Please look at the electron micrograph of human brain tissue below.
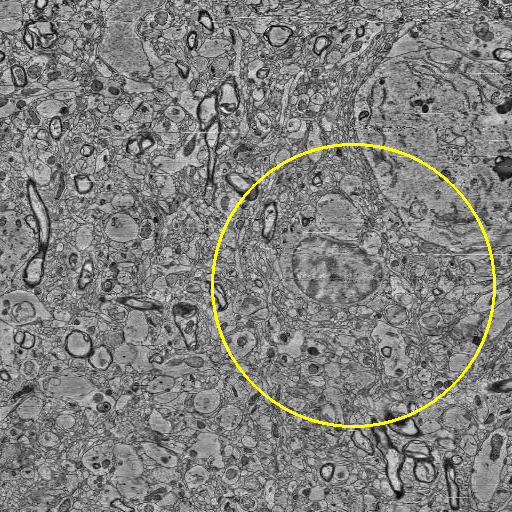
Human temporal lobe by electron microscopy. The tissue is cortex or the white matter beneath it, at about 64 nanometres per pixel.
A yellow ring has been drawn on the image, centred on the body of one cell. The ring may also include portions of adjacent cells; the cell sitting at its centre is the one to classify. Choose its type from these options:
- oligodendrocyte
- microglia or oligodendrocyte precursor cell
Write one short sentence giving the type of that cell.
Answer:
The cell in the middle of the ring is an oligodendrocyte.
